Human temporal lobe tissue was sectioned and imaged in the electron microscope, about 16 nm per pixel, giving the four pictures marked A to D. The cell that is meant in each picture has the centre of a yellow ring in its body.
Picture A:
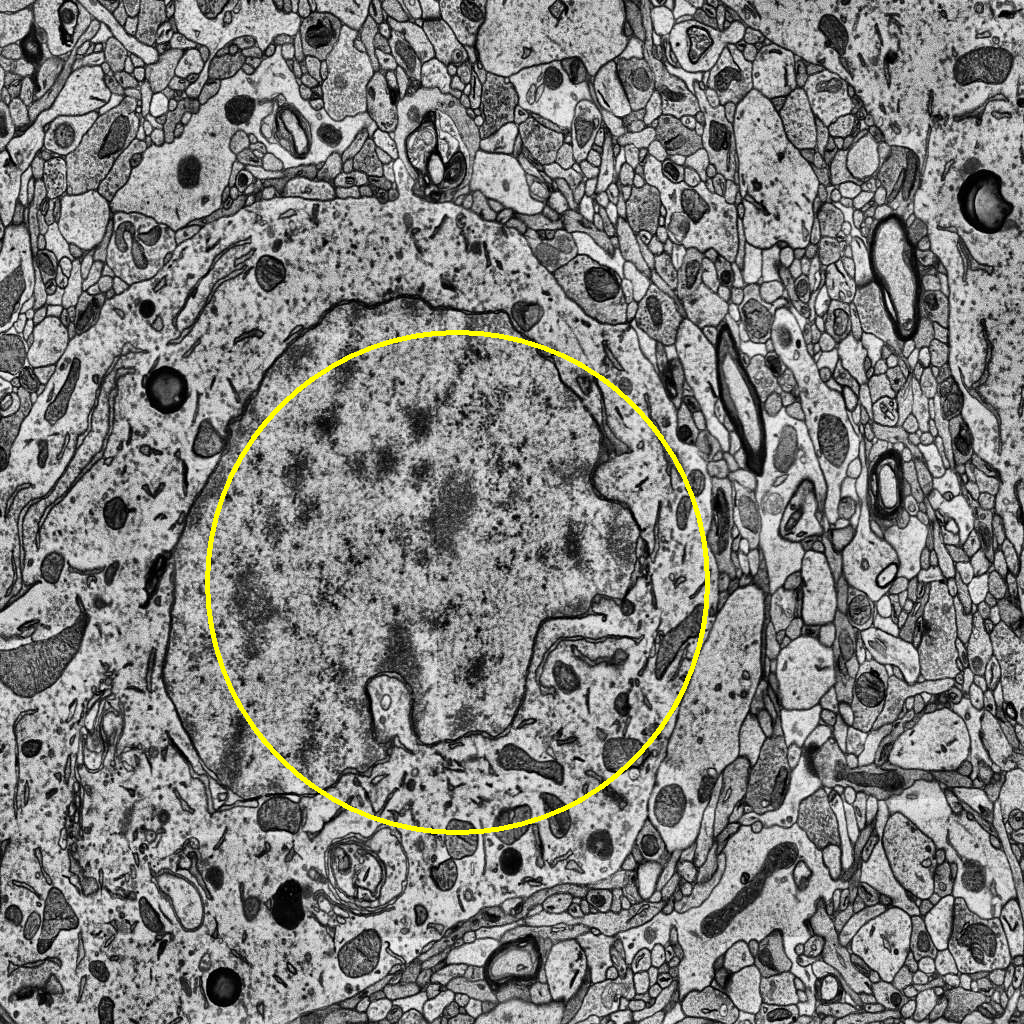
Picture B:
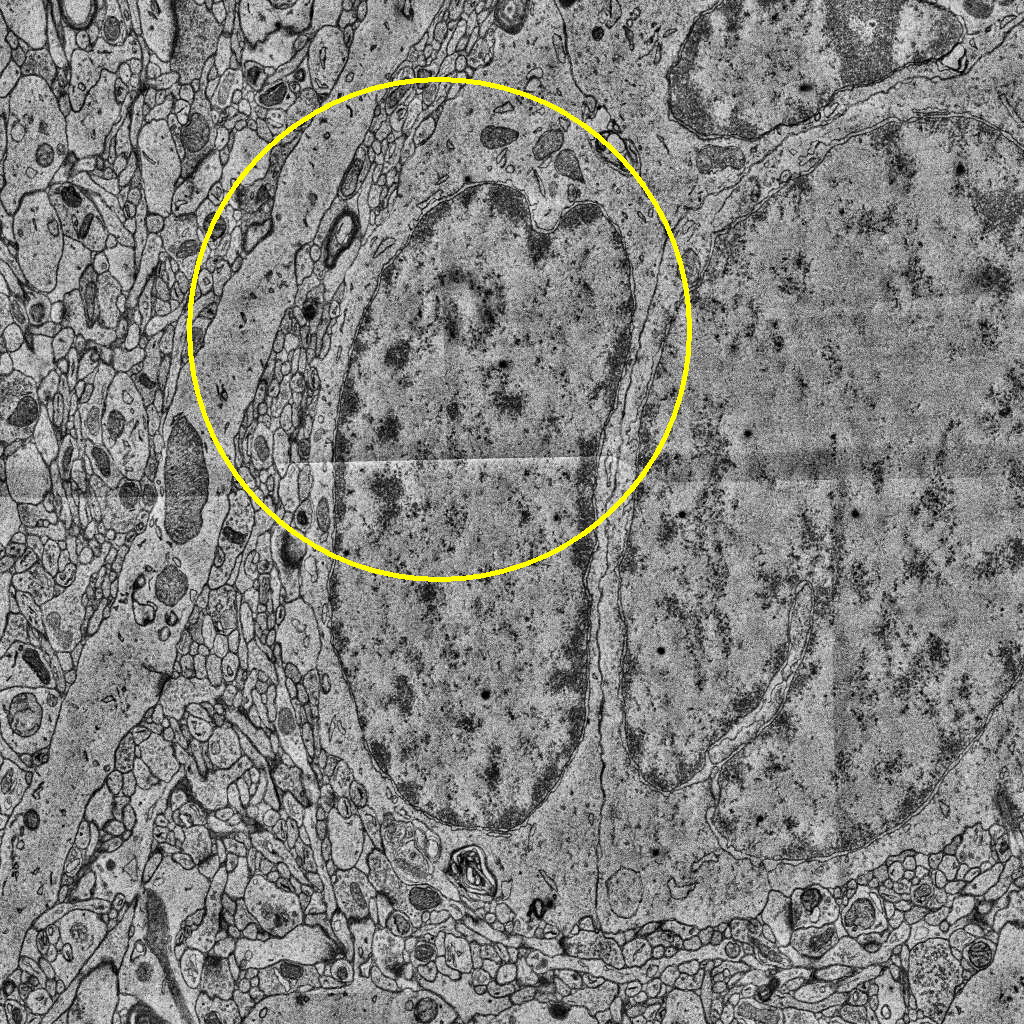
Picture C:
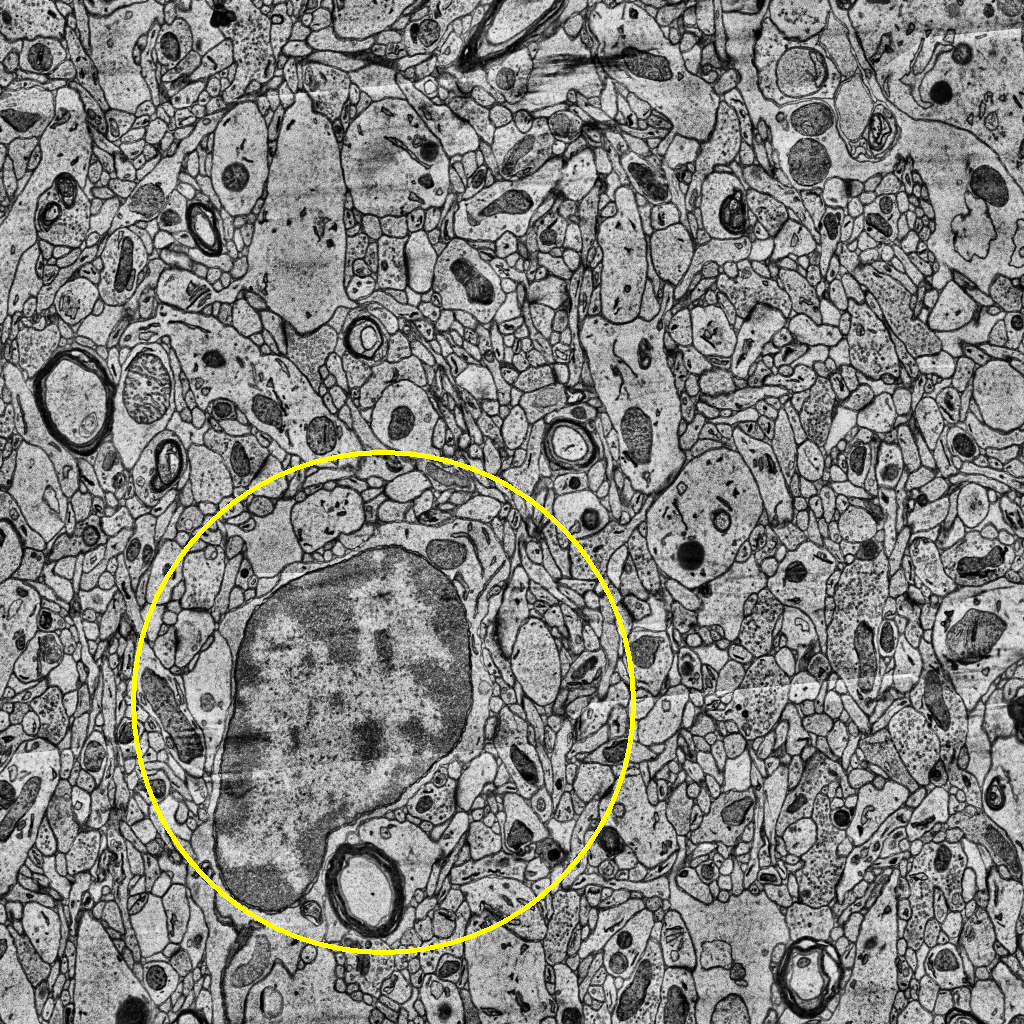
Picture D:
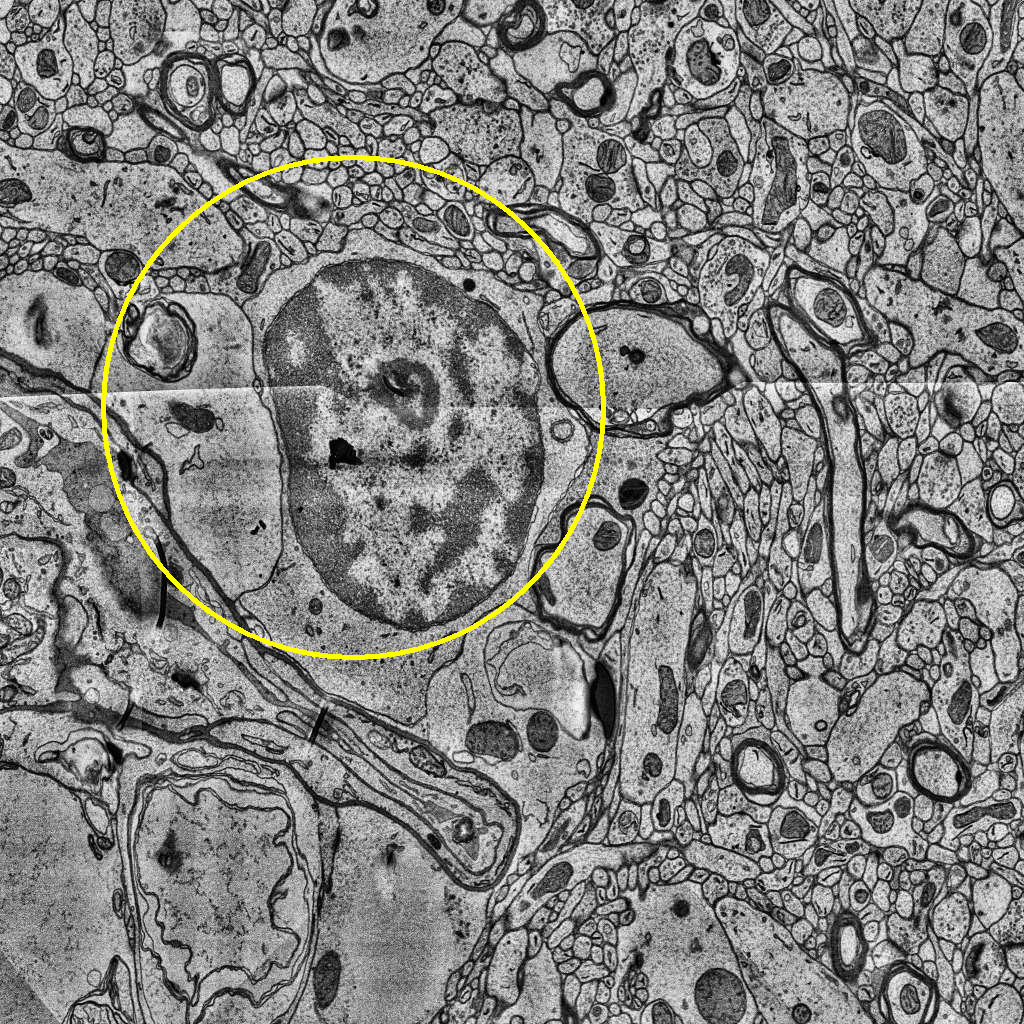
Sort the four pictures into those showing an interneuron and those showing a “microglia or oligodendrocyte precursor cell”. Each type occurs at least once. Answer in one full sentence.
Picture A shows an interneuron, while pictures B, C and D show “microglia or oligodendrocyte precursor cells”.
